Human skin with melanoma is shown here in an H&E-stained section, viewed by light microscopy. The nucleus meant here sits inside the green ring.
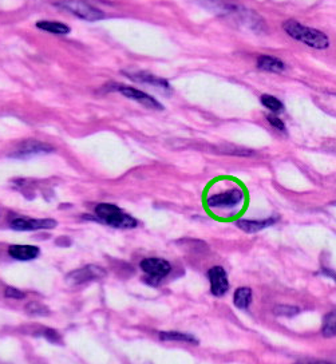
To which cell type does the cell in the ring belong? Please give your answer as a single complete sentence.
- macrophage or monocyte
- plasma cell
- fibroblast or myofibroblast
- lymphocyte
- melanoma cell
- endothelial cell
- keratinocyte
The expected answer is simply that the cell in the ring is a lymphocyte.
